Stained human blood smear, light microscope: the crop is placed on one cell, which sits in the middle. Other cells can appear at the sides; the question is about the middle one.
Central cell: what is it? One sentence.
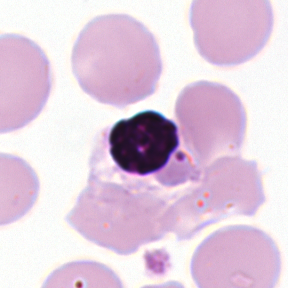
What sits at the centre of this crop is a normoblast.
